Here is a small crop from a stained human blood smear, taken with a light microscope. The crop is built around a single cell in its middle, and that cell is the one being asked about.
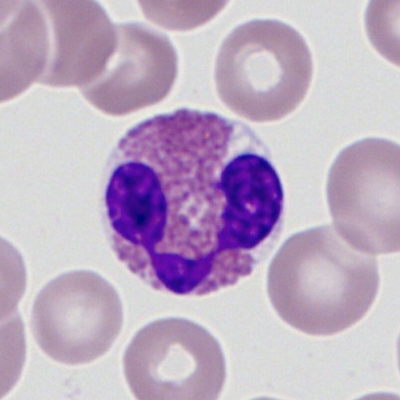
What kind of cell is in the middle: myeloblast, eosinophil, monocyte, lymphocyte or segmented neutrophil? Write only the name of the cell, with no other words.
eosinophil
